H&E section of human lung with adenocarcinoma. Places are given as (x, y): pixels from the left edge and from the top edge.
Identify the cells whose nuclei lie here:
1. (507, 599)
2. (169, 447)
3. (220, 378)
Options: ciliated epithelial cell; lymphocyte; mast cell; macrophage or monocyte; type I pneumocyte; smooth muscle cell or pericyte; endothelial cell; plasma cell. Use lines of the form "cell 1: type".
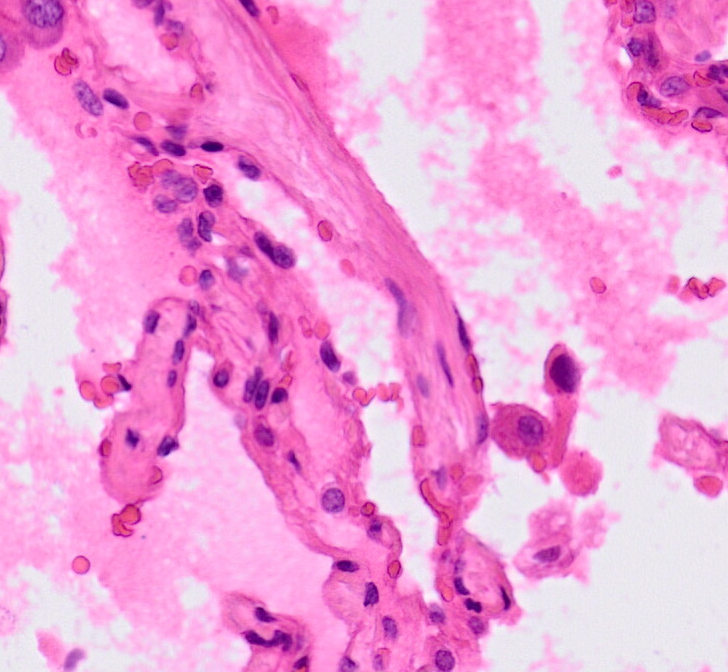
cell 1: endothelial cell
cell 2: type I pneumocyte
cell 3: mast cell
